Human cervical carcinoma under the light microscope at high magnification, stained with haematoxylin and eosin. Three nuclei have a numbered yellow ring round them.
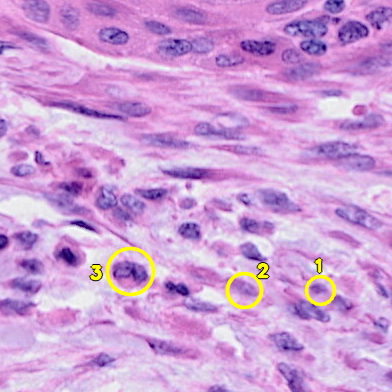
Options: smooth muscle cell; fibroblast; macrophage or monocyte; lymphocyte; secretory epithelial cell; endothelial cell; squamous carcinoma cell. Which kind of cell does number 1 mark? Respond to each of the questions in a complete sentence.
The cell carrying label 1 is identified as a fibroblast.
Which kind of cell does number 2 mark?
The one labeled 2 is a fibroblast, to put it simply.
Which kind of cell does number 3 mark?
The cell that bears the number 3 is a macrophage or monocyte.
